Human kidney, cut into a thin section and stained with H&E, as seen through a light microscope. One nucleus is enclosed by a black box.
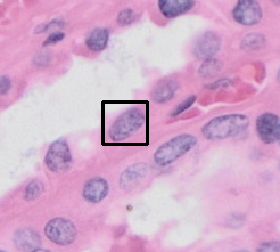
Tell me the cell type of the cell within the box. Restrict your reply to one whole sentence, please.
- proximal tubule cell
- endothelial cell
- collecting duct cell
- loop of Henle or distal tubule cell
The cell type of the cell within the box is that of a loop of Henle or distal tubule cell.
